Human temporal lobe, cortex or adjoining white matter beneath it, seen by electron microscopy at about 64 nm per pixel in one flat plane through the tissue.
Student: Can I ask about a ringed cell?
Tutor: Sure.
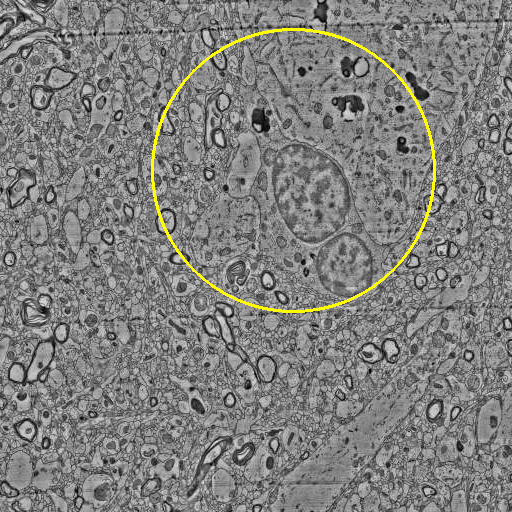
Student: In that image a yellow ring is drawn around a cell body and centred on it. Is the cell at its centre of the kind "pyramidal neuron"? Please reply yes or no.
No, the cell is of another kind.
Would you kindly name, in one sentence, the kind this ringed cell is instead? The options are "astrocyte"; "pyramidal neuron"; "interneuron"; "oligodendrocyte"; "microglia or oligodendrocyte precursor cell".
The cell enclosed by the ring is an oligodendrocyte.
